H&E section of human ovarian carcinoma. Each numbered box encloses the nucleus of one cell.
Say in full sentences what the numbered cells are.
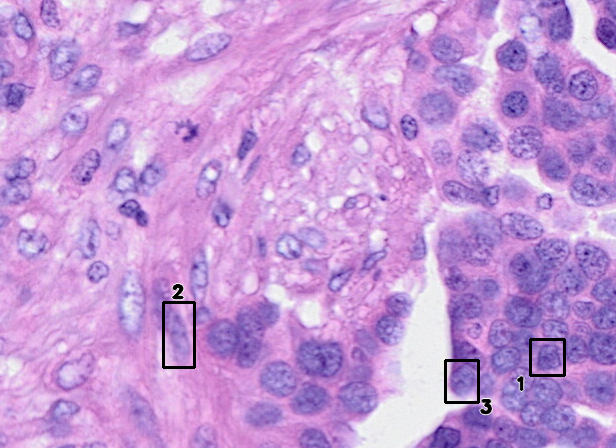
Cell 1 is a carcinoma cell, cell 2 is a fibroblast and cell 3 is a carcinoma cell.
